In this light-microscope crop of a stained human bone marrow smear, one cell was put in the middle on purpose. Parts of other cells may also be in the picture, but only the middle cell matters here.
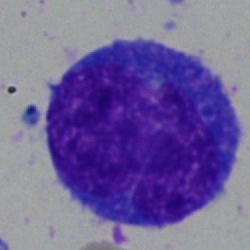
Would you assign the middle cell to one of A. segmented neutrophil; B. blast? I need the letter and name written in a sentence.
For this crop, option B is right, the centered cell being a blast.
